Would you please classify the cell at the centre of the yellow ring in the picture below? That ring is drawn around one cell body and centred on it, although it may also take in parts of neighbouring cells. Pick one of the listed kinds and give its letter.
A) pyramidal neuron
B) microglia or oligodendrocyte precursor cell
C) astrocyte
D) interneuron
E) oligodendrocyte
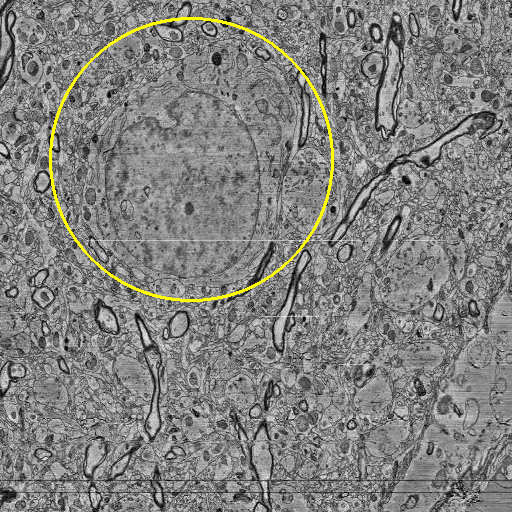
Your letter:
D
